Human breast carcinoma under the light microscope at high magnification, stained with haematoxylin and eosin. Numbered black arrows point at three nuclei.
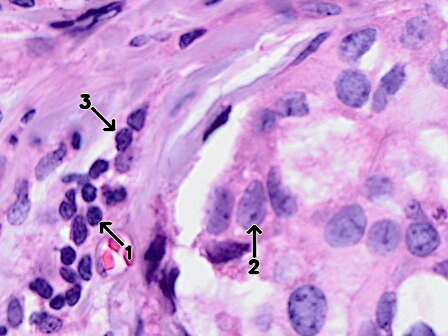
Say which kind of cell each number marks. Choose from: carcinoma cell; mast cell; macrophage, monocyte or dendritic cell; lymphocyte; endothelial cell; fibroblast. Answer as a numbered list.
1. lymphocyte
2. carcinoma cell
3. lymphocyte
